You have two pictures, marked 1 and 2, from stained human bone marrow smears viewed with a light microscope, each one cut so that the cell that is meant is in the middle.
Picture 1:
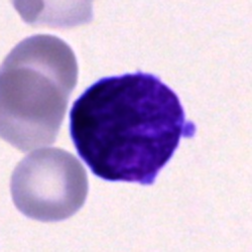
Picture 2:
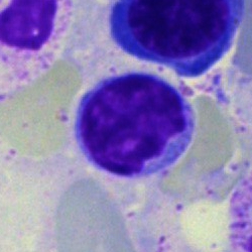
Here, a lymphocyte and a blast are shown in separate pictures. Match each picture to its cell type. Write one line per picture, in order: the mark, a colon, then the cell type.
1: blast
2: lymphocyte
